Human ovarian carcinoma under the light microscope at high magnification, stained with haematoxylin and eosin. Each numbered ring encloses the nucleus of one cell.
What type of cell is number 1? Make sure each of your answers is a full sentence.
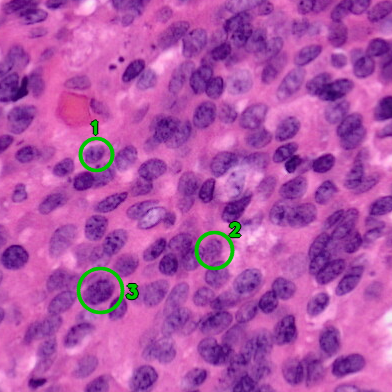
It is as a macrophage or monocyte that the cell numbered 1 is identified.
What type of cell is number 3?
In this section, number 3 marks a carcinoma cell.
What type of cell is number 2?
What the number 2 marks in this field is a carcinoma cell.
